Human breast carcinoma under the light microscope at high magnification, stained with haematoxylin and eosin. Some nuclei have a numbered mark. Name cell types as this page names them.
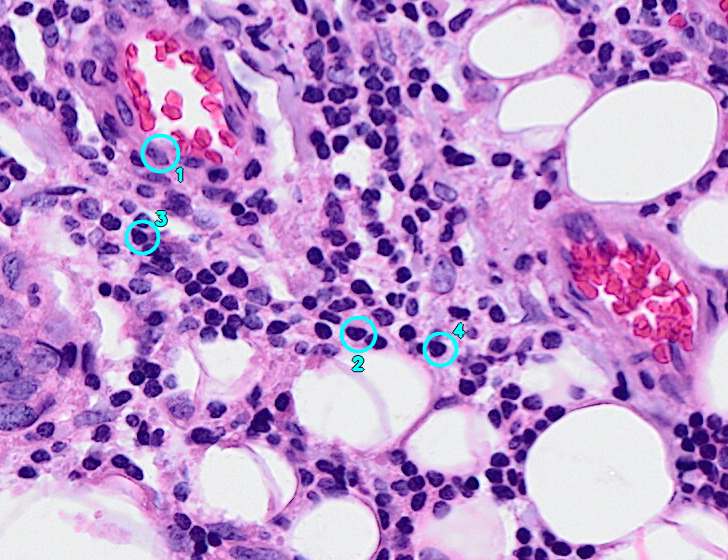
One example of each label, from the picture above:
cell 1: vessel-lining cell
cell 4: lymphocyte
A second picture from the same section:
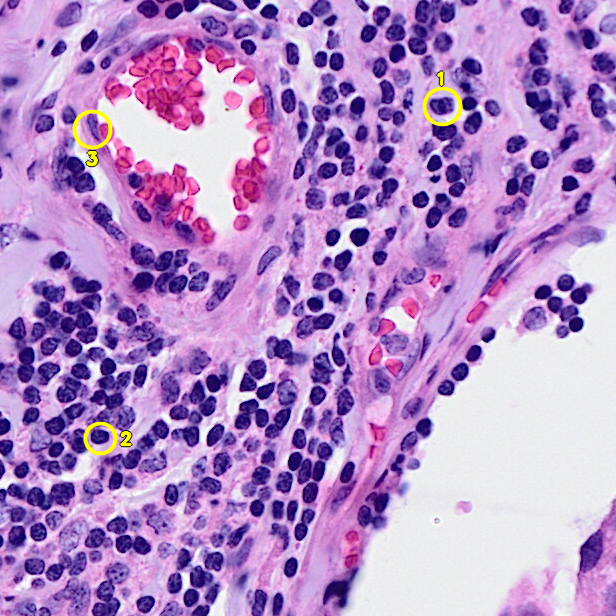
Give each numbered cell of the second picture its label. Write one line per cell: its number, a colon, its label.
1: lymphocyte
2: lymphocyte
3: vessel-lining cell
